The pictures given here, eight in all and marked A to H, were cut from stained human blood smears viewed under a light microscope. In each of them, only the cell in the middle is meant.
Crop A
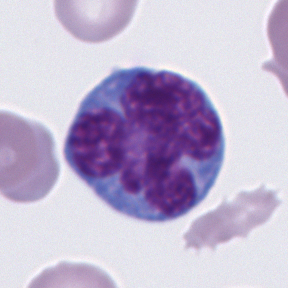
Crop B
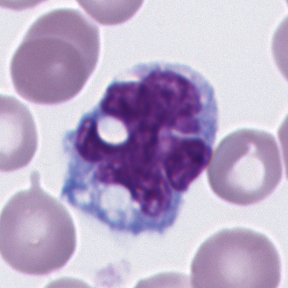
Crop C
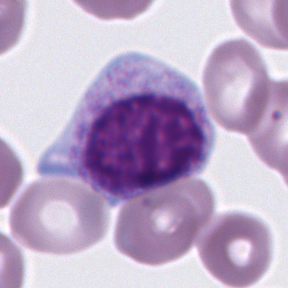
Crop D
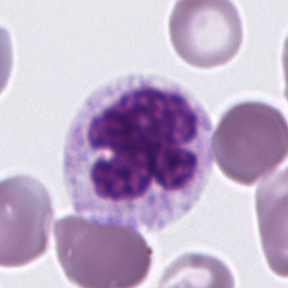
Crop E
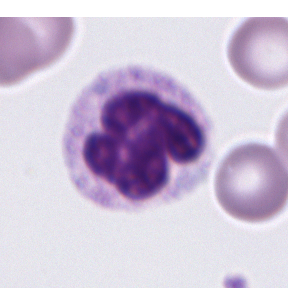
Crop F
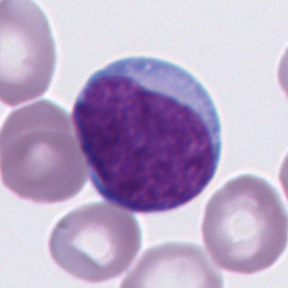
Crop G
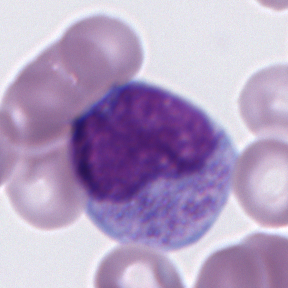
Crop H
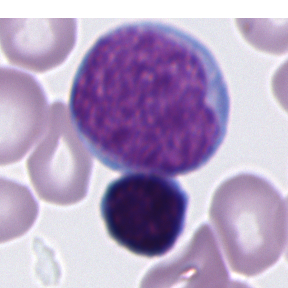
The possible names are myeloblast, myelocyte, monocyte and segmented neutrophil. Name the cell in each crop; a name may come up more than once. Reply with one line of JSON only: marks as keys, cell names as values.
{"A": "monocyte", "B": "monocyte", "C": "myelocyte", "D": "segmented neutrophil", "E": "segmented neutrophil", "F": "myeloblast", "G": "myelocyte", "H": "myeloblast"}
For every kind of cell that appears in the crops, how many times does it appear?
monocyte: 2
myelocyte: 2
segmented neutrophil: 2
myeloblast: 2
